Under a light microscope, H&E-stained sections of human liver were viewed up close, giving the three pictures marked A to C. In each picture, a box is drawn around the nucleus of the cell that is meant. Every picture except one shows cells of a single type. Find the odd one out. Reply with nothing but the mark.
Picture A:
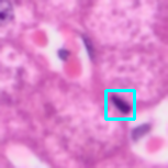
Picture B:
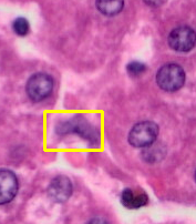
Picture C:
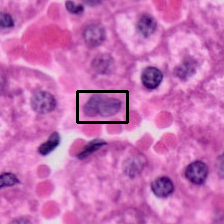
A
